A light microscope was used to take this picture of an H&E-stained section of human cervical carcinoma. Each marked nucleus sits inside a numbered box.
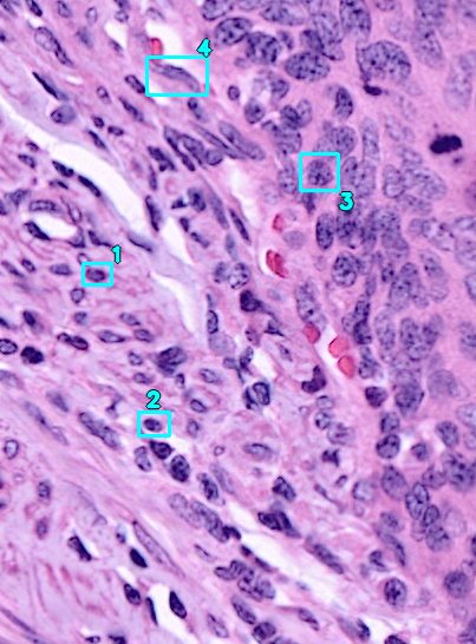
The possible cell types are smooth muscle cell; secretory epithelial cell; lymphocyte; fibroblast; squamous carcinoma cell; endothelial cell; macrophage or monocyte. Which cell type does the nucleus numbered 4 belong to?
endothelial cell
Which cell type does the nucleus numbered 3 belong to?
squamous carcinoma cell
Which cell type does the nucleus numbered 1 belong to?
smooth muscle cell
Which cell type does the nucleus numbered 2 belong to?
lymphocyte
